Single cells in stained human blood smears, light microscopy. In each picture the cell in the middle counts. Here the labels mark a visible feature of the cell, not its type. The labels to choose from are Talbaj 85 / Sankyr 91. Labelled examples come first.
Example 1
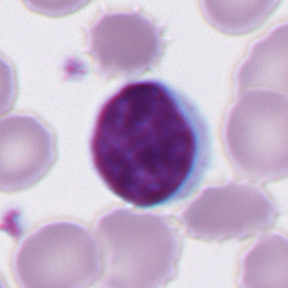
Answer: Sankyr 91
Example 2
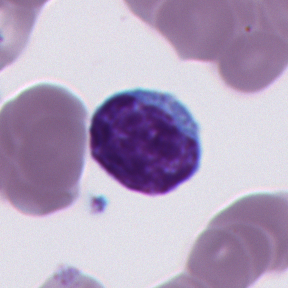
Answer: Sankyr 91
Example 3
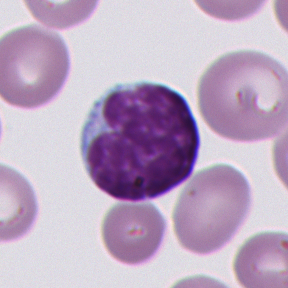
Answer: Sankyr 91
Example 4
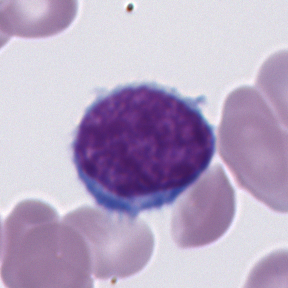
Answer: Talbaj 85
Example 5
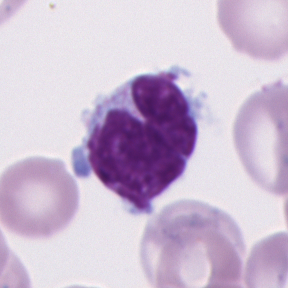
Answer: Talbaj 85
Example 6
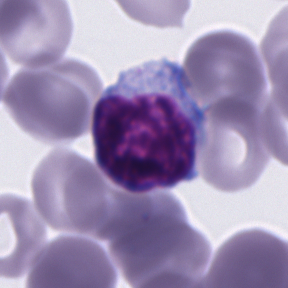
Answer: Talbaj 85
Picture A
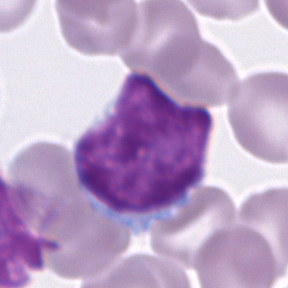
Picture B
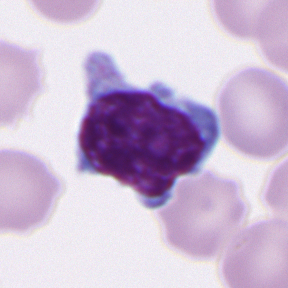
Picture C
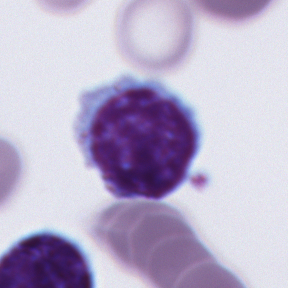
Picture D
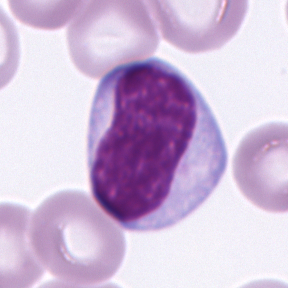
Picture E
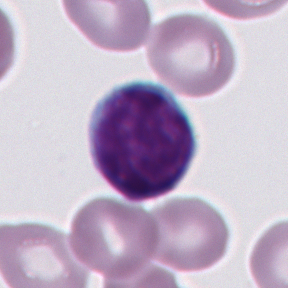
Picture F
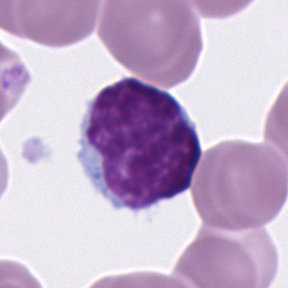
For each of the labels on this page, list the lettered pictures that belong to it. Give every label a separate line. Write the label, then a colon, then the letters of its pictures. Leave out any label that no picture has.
Talbaj 85: A, B, C, F
Sankyr 91: D, E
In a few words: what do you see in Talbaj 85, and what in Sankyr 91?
Talbaj 85: ragged outline or projections; Sankyr 91: smooth outline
